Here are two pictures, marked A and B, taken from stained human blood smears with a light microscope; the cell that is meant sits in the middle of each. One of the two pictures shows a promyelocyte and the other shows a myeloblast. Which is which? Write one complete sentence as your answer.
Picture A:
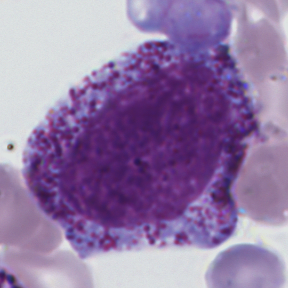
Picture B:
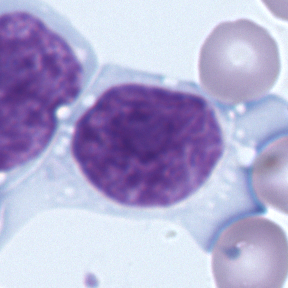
Picture A is of a promyelocyte, and picture B is of a myeloblast.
